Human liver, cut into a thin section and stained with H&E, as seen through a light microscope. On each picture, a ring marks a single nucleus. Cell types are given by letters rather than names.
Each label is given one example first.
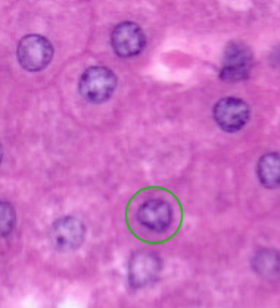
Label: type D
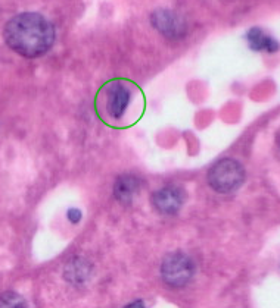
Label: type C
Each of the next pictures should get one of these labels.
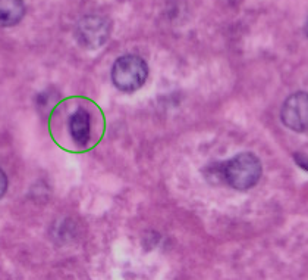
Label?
type C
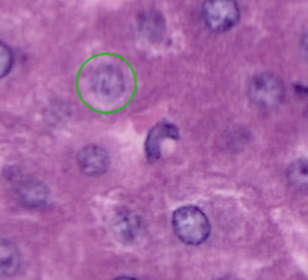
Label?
type D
